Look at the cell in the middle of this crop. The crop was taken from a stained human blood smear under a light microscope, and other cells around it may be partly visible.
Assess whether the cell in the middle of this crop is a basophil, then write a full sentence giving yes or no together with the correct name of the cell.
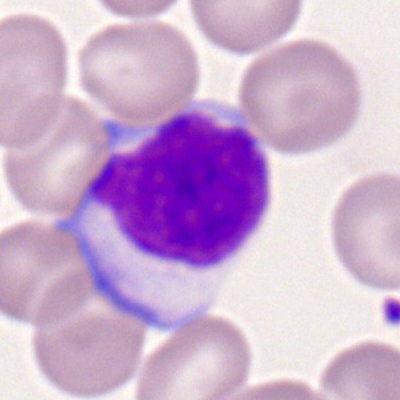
No, calling it a basophil is wrong; the middle cell is a lymphocyte.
